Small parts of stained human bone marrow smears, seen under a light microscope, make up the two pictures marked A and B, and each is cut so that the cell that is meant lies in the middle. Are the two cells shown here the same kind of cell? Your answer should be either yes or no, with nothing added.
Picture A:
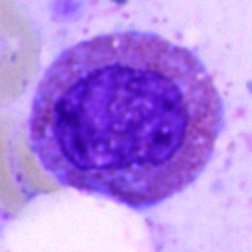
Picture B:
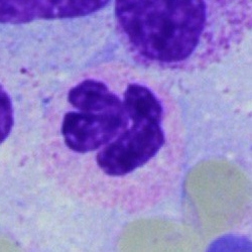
no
